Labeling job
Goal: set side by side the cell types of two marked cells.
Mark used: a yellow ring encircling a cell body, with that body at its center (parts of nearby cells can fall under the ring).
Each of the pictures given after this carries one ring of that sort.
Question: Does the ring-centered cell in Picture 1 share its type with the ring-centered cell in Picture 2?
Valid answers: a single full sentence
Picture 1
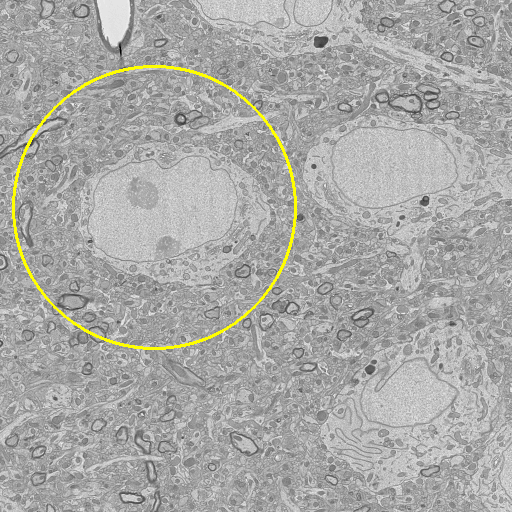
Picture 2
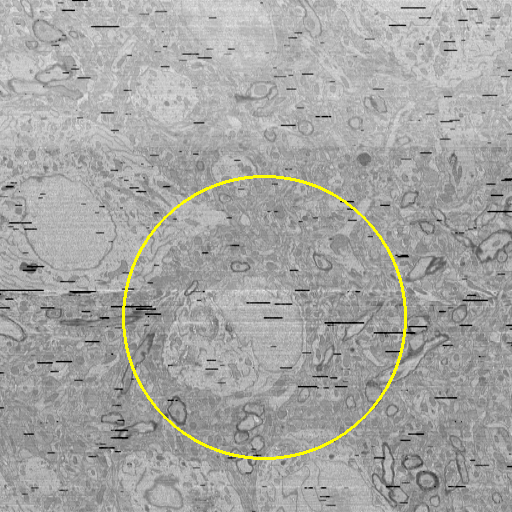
No, in Pictures 1 and 2 the cells at the ring centers have separate types.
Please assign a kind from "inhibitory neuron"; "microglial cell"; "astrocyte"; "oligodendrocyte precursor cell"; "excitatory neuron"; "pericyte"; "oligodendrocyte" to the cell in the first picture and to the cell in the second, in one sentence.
In the first picture we have an excitatory neuron, and in the second, an oligodendrocyte precursor cell.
